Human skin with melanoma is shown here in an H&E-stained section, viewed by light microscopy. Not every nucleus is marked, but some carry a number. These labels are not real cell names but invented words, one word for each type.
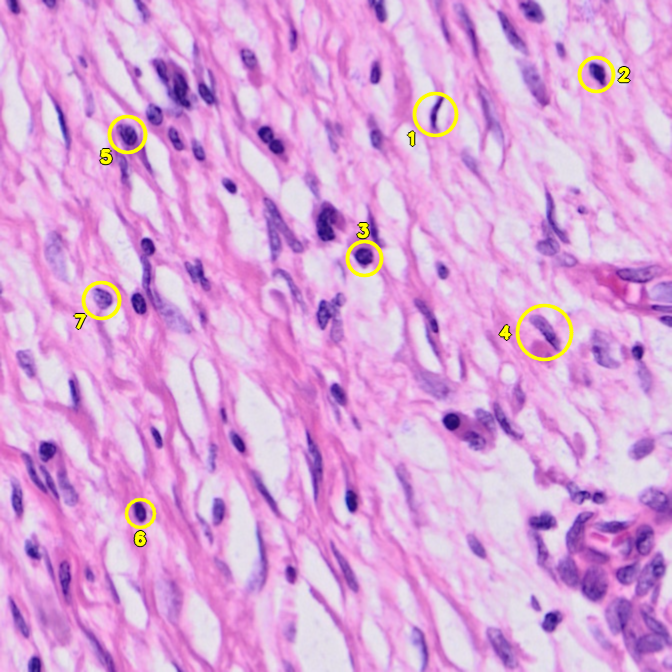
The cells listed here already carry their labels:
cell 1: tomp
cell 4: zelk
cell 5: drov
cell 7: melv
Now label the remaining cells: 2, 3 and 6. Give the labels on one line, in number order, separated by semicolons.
melv; drov; melv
